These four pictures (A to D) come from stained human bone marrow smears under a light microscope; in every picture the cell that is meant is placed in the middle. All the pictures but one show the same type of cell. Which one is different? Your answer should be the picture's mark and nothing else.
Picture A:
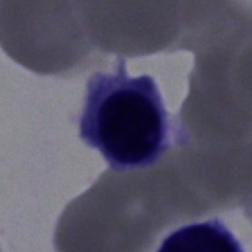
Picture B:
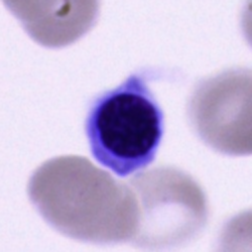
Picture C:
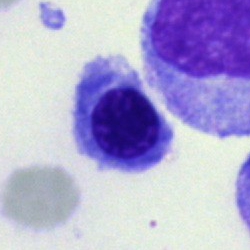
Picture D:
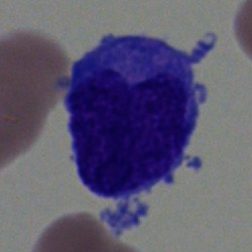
D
